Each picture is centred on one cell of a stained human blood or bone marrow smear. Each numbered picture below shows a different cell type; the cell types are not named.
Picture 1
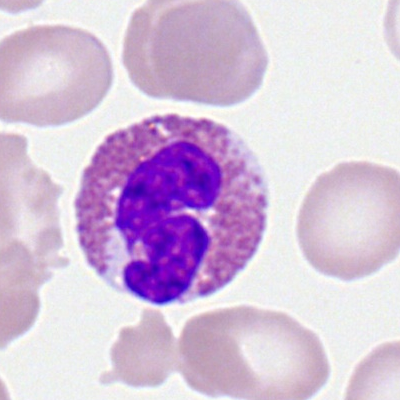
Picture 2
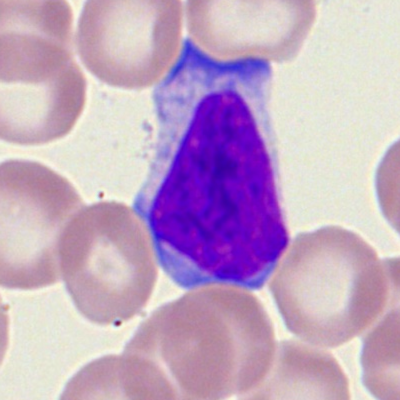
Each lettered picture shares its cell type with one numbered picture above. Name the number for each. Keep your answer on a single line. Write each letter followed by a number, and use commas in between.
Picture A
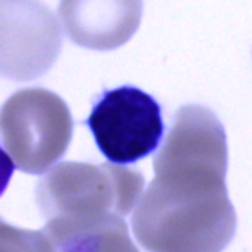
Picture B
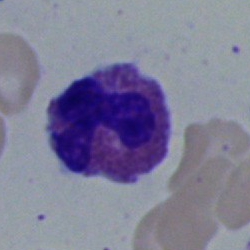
A 2, B 1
